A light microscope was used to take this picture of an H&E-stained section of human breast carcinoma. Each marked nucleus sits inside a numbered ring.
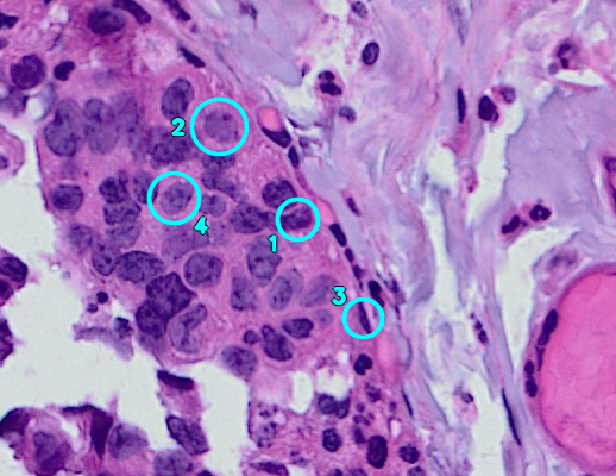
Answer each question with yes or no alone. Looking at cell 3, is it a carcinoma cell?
no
